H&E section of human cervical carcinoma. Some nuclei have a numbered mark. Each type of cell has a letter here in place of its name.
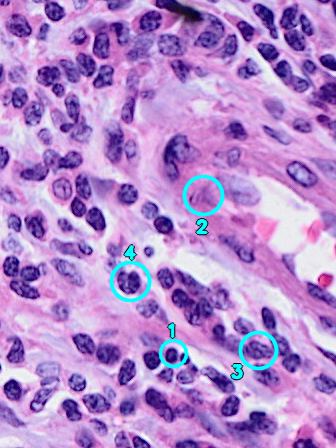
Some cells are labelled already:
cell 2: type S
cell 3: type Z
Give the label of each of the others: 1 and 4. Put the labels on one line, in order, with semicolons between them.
type Z; type Z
